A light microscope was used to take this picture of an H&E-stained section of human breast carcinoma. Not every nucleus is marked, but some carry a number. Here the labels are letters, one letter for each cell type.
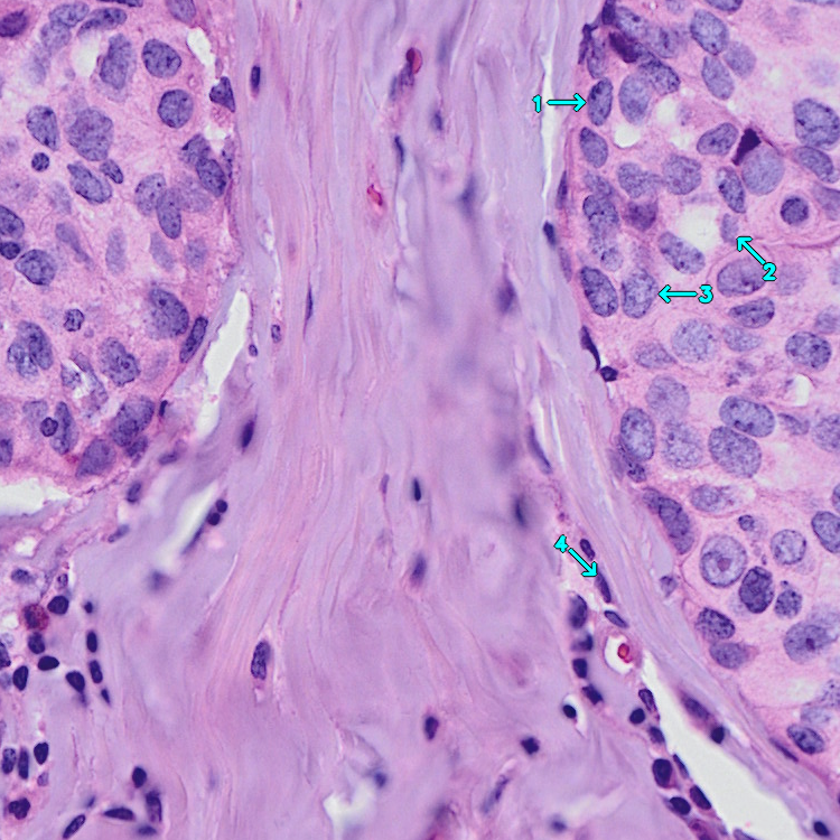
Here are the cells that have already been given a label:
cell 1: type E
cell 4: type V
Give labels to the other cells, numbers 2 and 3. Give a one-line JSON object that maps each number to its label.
{"2": "type E", "3": "type E"}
